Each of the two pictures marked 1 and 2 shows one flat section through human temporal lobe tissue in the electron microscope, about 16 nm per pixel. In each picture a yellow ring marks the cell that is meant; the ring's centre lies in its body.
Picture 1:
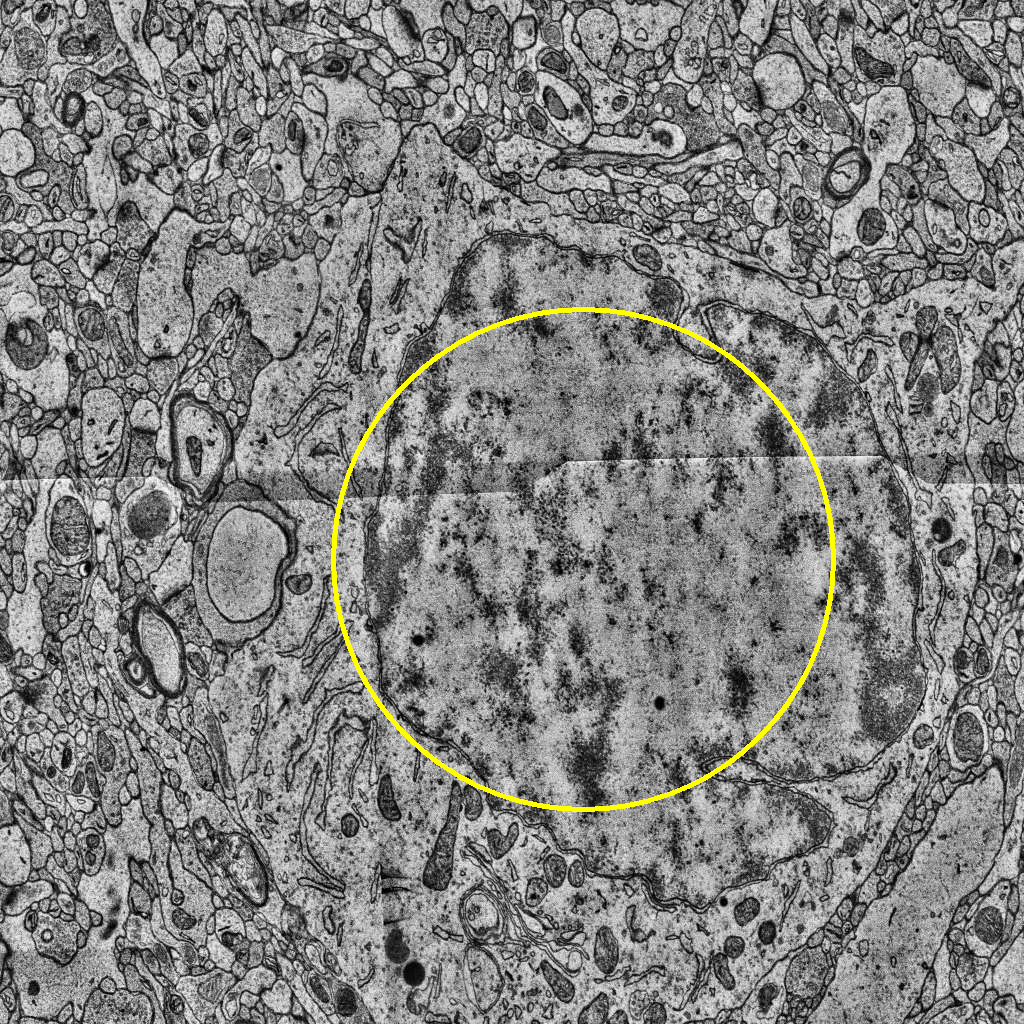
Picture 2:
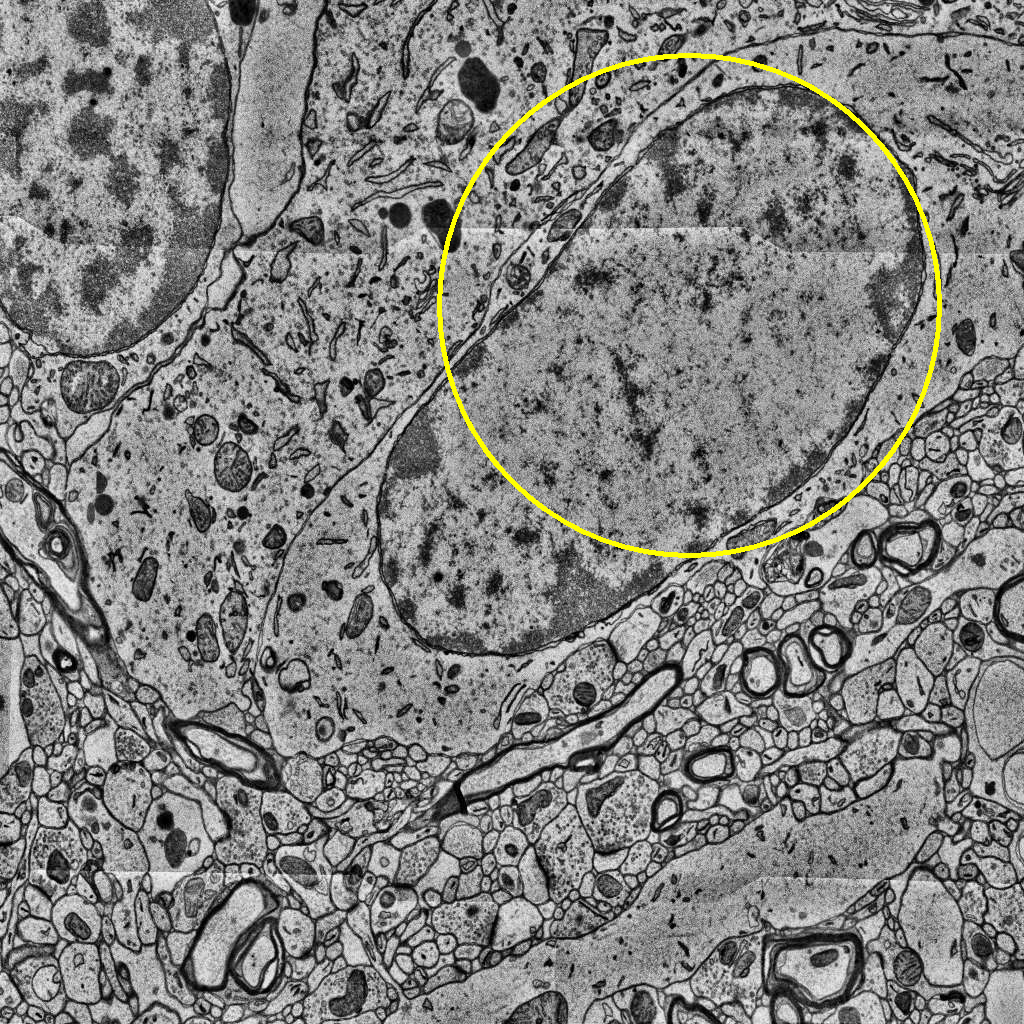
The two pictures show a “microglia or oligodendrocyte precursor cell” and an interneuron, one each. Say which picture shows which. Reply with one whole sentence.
In picture 1 the cell is an interneuron; in picture 2, a “microglia or oligodendrocyte precursor cell”.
